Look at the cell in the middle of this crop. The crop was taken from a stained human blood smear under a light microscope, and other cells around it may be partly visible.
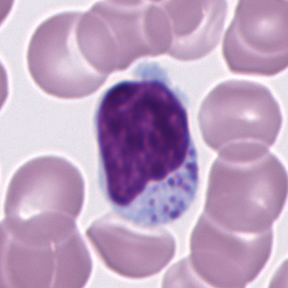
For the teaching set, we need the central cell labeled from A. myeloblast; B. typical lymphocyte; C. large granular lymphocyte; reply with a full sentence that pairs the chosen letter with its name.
The cell shown centrally is a large granular lymphocyte; option C is the correct option.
